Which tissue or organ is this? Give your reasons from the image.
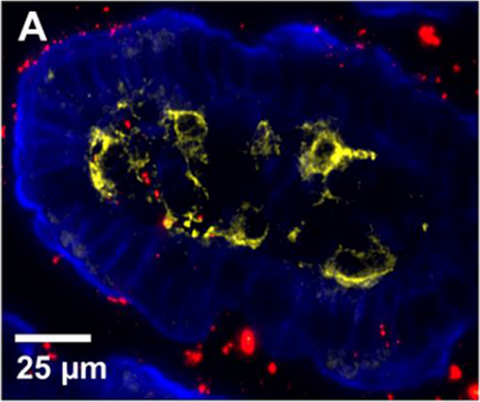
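A single rounded finger-like profile outlined by a bright blue border. Radially striated epithelial layer surrounds a central core.
Villus.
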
